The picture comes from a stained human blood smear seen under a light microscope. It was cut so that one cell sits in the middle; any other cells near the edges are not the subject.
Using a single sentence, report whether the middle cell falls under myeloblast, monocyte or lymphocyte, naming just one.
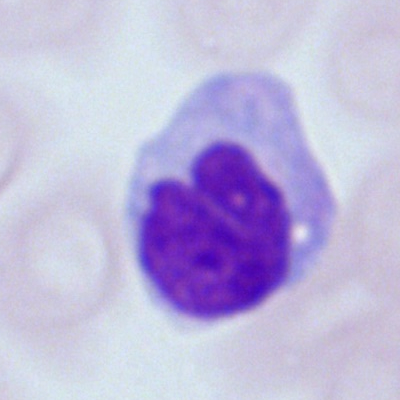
The cell centred in this crop is categorized as a monocyte.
